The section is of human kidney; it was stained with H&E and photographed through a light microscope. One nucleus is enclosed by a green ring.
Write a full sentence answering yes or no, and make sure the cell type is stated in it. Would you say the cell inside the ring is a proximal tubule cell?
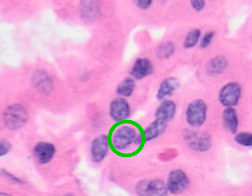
No, the cell inside the ring counts as a collecting duct cell rather than as a proximal tubule cell.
